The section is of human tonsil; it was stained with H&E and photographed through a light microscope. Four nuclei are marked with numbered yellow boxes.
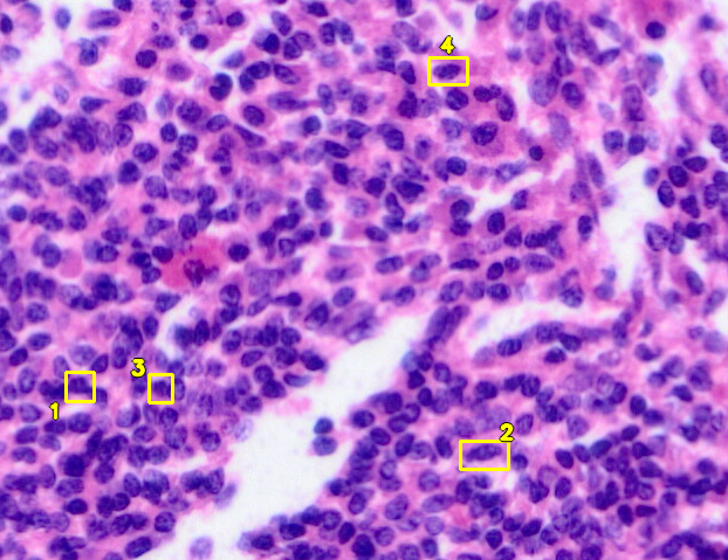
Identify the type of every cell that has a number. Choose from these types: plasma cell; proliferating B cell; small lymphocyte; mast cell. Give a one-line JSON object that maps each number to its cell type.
{"1": "small lymphocyte", "2": "small lymphocyte", "3": "small lymphocyte", "4": "plasma cell"}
